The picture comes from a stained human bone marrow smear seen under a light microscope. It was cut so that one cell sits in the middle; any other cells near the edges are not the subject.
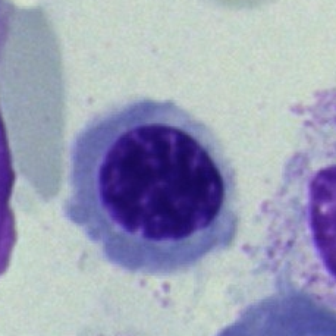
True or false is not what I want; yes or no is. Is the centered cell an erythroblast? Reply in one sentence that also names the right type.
Yes, it is an erythroblast that lies in the middle.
